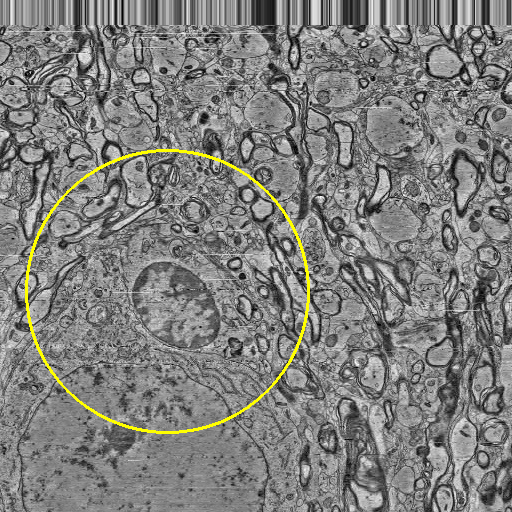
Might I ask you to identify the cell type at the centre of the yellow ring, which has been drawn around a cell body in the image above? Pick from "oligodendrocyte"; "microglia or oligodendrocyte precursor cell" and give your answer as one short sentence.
The centre of the ring falls on a microglial cell or oligodendrocyte precursor cell.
